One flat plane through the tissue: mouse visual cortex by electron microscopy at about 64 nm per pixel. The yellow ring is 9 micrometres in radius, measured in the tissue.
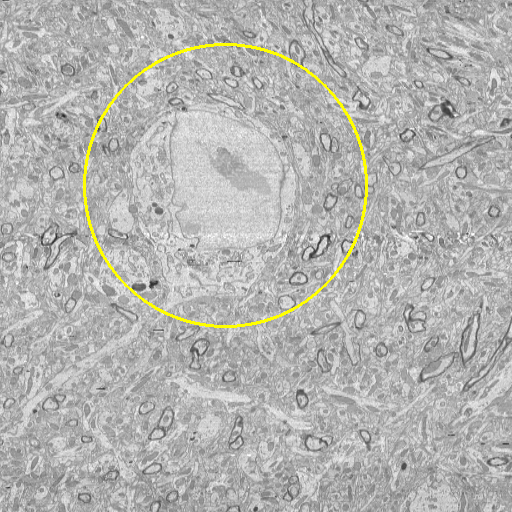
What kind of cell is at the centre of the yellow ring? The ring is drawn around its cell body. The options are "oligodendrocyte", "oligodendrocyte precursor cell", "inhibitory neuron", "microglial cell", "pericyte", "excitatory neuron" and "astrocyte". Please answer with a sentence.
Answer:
The yellow ring marks the cell body of an inhibitory neuron.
